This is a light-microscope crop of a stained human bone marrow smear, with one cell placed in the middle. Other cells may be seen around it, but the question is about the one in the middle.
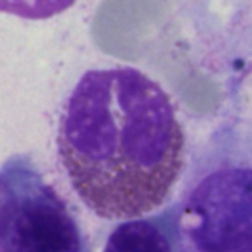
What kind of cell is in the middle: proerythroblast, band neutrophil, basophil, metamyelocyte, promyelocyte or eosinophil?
eosinophil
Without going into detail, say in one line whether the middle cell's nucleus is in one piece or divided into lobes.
If you check the nucleus, you will find it split into two or more lobes.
